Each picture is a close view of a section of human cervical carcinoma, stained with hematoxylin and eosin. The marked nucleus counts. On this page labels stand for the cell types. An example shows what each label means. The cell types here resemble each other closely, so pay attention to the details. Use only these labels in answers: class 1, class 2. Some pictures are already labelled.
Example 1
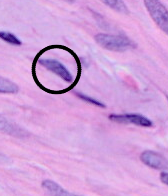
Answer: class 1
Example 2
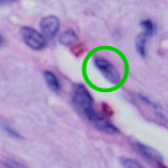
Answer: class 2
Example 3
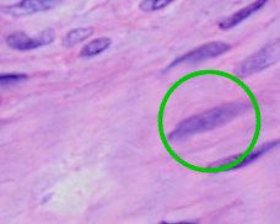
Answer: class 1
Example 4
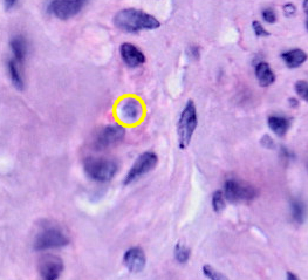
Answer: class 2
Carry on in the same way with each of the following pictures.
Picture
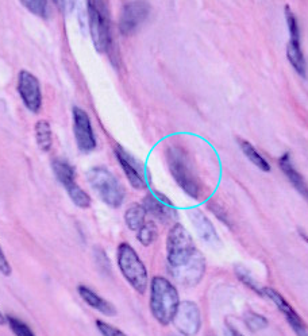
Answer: class 2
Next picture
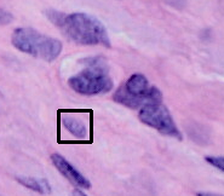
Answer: class 1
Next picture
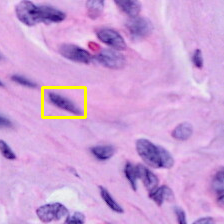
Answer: class 1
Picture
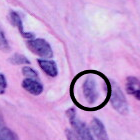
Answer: class 1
